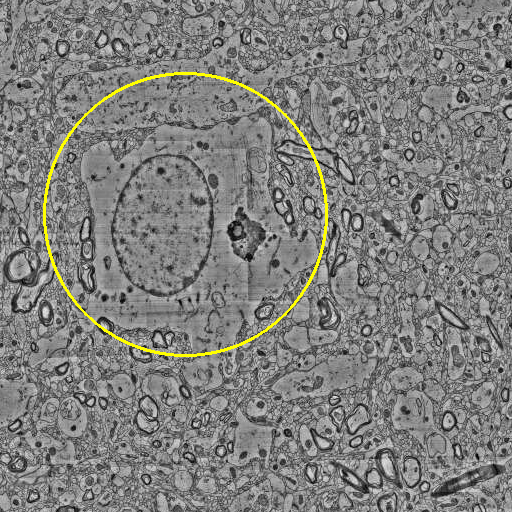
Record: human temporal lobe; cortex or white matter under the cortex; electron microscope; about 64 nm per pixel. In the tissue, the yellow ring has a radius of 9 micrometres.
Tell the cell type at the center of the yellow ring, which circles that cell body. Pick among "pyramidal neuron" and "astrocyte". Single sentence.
The ring is centered on the body of an astrocyte.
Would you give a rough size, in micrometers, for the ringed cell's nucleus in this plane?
In this plane, roughly 9 by 6 micrometres.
